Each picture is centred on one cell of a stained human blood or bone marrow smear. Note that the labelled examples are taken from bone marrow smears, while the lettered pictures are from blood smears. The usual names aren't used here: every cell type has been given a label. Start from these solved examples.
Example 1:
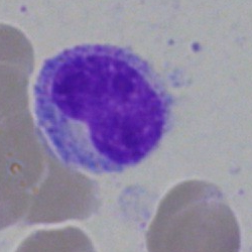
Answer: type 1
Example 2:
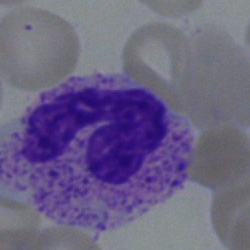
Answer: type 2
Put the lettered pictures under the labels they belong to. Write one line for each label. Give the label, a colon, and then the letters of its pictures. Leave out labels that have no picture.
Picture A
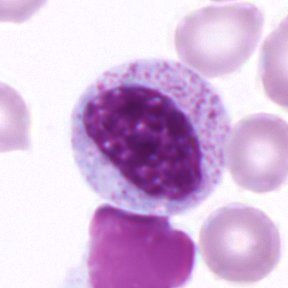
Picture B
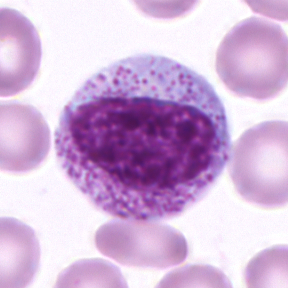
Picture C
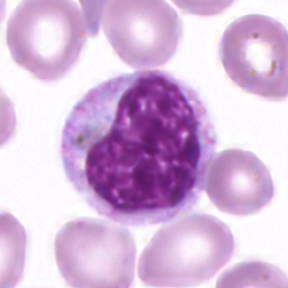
type 1: A, B, C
